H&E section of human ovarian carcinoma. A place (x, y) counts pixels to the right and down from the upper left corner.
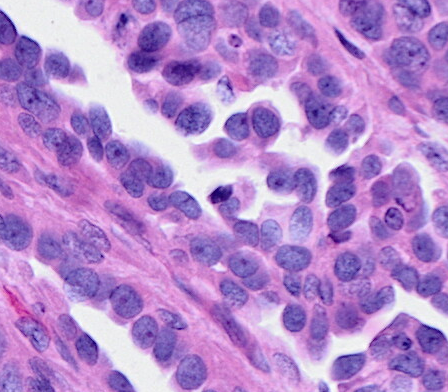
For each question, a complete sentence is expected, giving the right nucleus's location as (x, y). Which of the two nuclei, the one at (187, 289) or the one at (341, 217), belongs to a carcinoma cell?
Identified as belonging to a carcinoma cell is the nucleus at (341, 217).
